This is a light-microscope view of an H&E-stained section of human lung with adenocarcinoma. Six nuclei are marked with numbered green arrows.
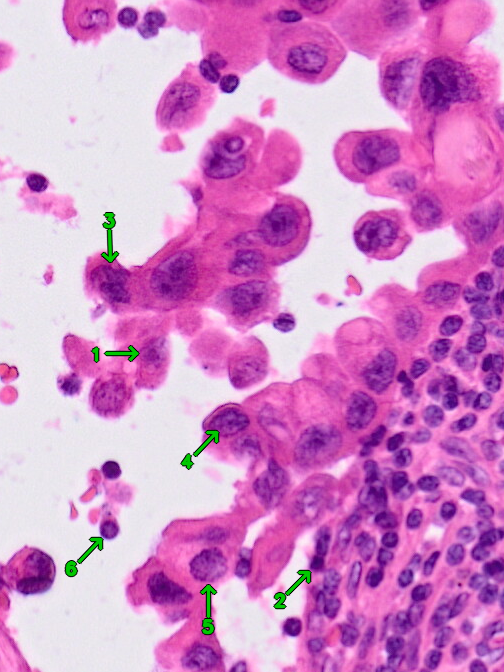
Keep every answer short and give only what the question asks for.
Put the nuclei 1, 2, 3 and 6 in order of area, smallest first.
2, 6, 1, 3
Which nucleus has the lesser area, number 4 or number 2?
2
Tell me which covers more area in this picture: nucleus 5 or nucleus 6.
5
